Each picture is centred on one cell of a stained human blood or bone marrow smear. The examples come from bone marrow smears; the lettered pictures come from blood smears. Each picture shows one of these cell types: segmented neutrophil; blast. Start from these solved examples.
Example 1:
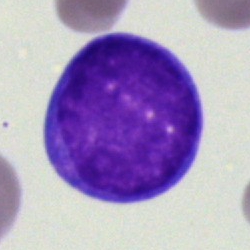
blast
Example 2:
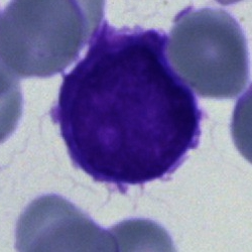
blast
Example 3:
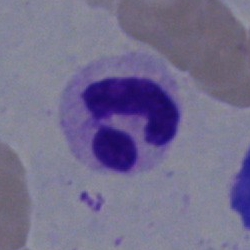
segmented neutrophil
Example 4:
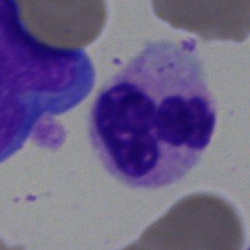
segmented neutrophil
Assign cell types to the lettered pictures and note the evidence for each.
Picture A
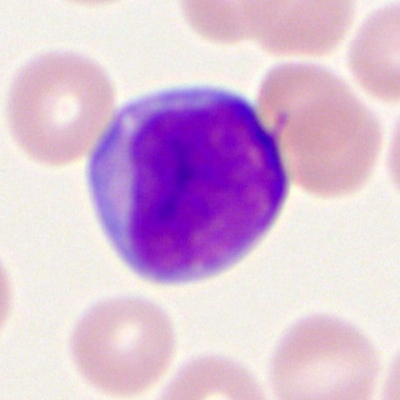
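Label: blast. The cytoplasm forms a narrow rim that is widest on the left side.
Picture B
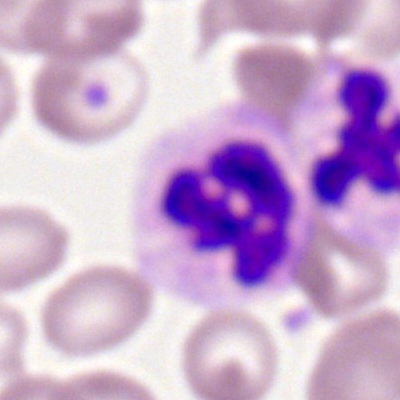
Label: segmented neutrophil. The nucleus is divided into several connected lobes.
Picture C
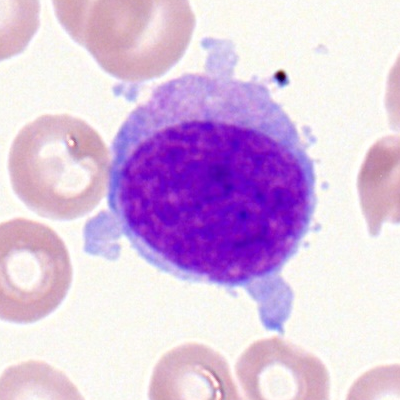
Label: blast. The nucleus fills most of the cell, leaving a modest rim of cytoplasm.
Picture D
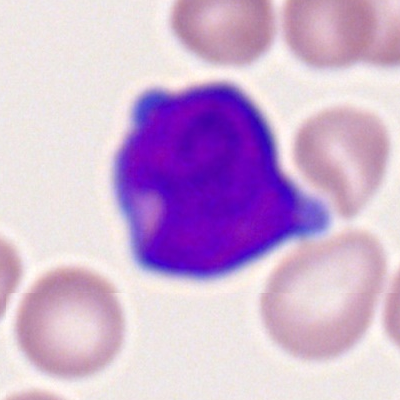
Label: blast. The visible cytoplasm is deep blue.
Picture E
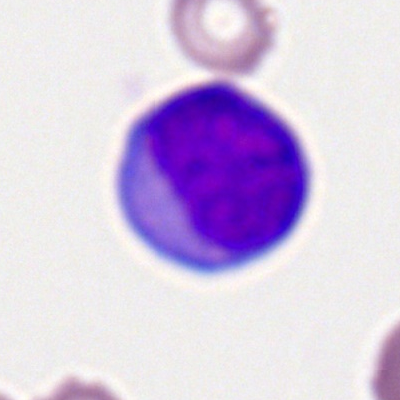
Label: blast. The nucleus fills most of the cell and sits toward the upper right.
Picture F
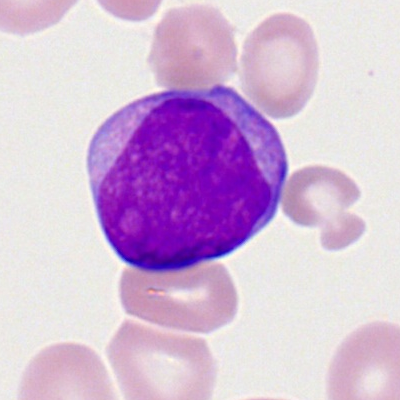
Label: blast. The nucleus is a single unlobed mass that fills most of the cell.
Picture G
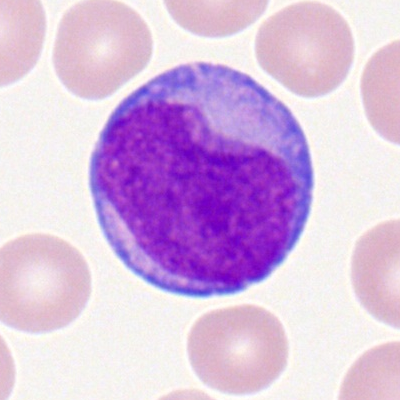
Label: blast. The nucleus fills most of the cell.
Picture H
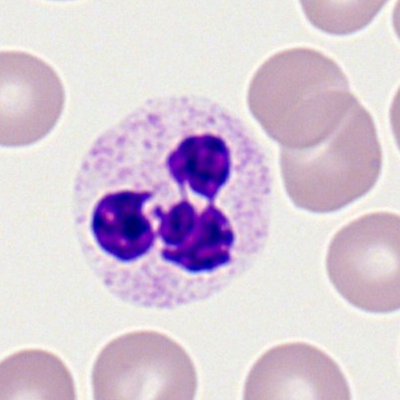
Label: segmented neutrophil. The cytoplasm is plentiful and pale pink.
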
